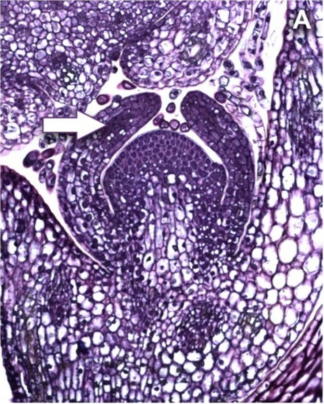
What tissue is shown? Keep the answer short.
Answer: Stem apex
